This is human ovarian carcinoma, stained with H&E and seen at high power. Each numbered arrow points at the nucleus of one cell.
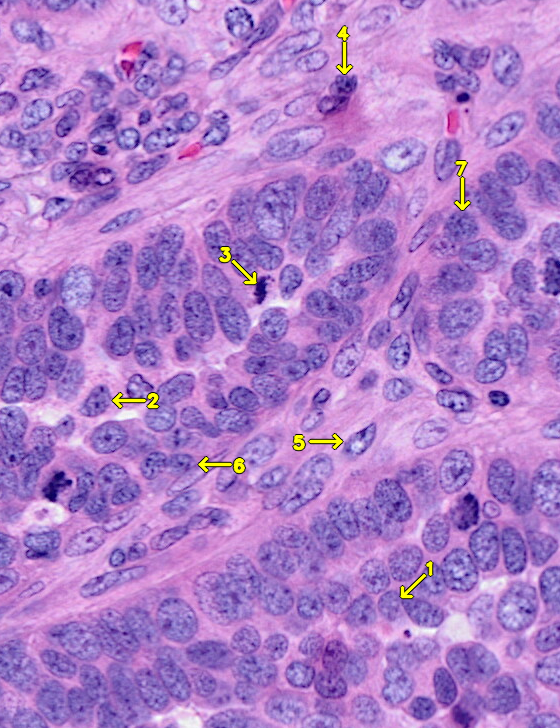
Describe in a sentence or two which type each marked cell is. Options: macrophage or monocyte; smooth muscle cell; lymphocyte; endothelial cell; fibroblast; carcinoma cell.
Cells 1, 3, 6 and 7 are carcinoma cells. Cell 2 is a macrophage or monocyte. Cell 4 is a lymphocyte. Cell 5 is a fibroblast.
